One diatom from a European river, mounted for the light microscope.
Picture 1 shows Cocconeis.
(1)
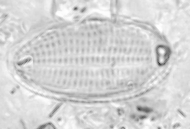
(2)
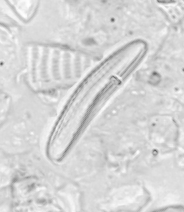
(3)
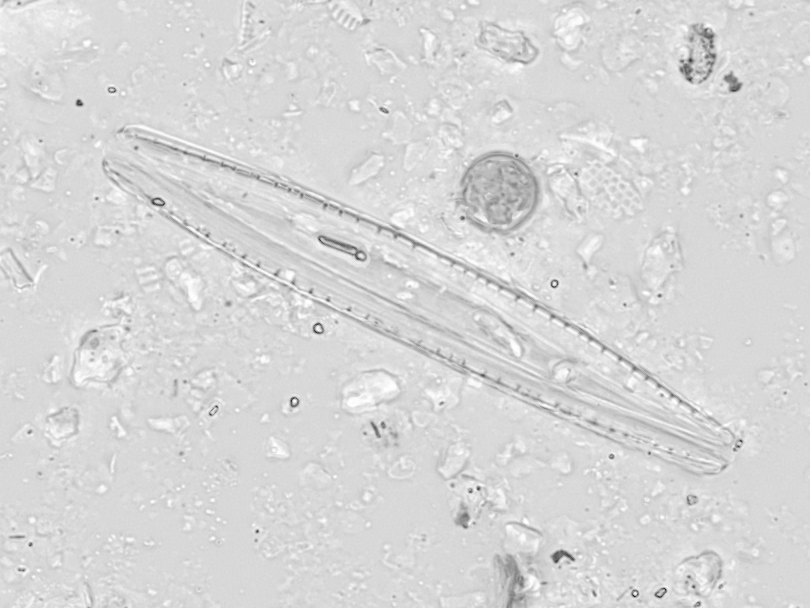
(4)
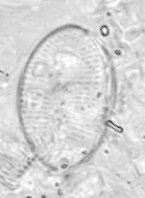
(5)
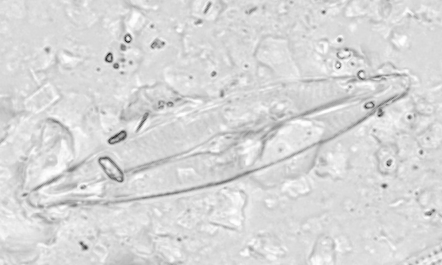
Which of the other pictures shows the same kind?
Picture 4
